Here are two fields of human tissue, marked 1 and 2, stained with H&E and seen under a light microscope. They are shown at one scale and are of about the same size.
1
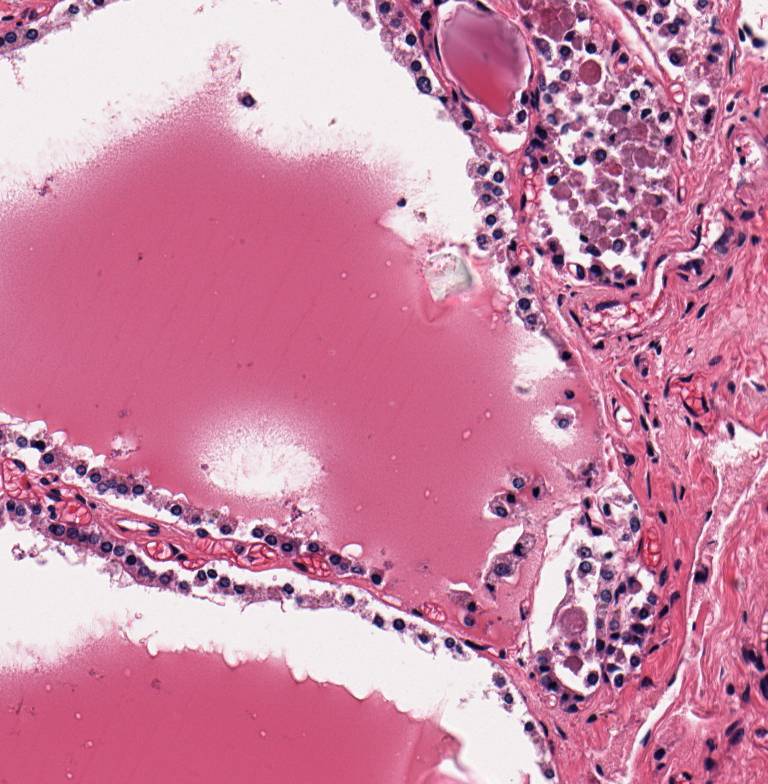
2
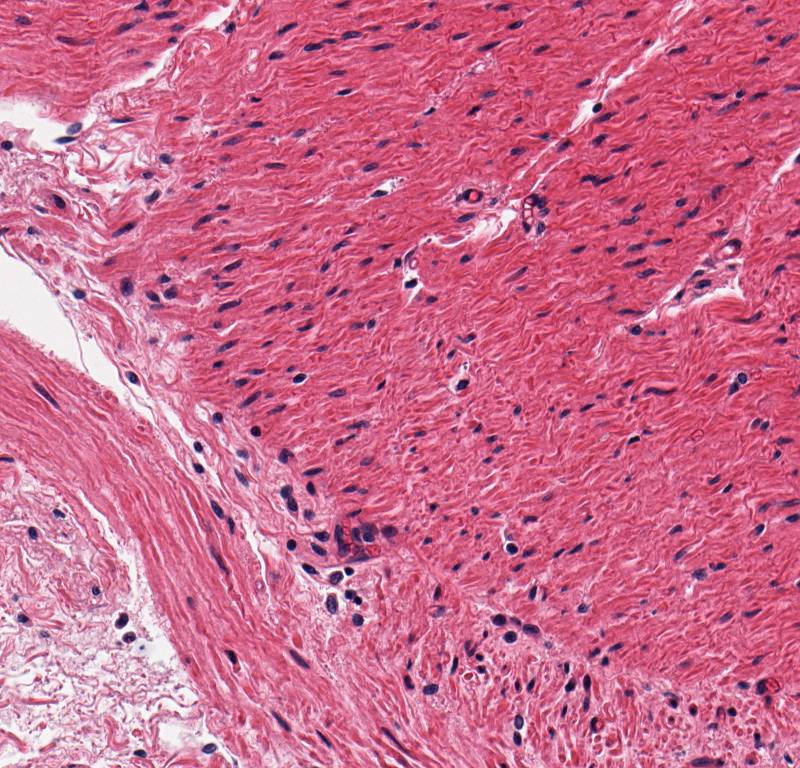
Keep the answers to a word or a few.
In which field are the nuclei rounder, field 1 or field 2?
1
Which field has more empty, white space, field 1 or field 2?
1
